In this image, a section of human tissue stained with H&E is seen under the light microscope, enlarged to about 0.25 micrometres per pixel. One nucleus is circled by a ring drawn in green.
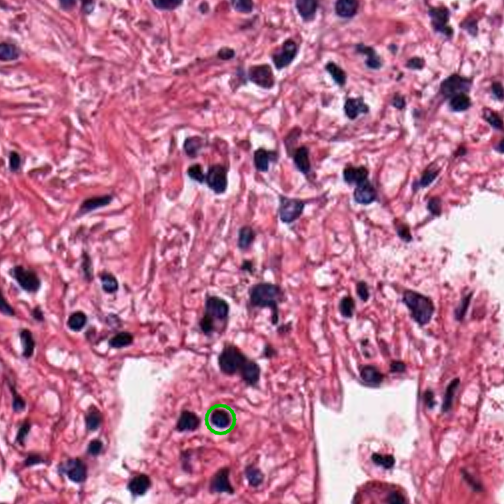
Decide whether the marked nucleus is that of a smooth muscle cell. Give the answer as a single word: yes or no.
no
